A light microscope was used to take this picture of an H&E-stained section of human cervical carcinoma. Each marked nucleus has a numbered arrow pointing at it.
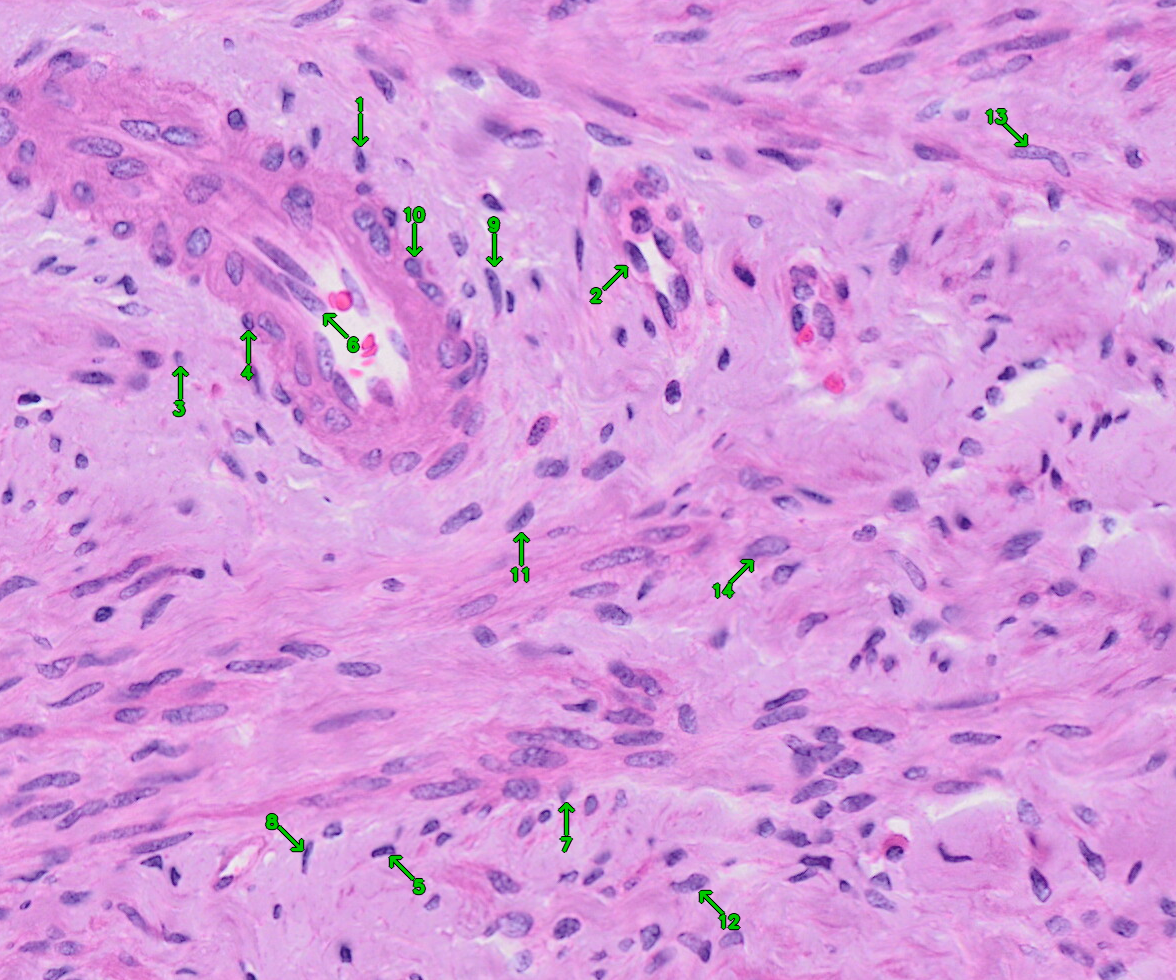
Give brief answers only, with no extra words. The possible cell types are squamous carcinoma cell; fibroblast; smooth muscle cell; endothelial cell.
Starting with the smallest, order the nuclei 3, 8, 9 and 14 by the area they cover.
3, 8, 9, 14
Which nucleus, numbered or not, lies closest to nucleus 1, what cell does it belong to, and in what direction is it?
a smooth muscle cell below nucleus 1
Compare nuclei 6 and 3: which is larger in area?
6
